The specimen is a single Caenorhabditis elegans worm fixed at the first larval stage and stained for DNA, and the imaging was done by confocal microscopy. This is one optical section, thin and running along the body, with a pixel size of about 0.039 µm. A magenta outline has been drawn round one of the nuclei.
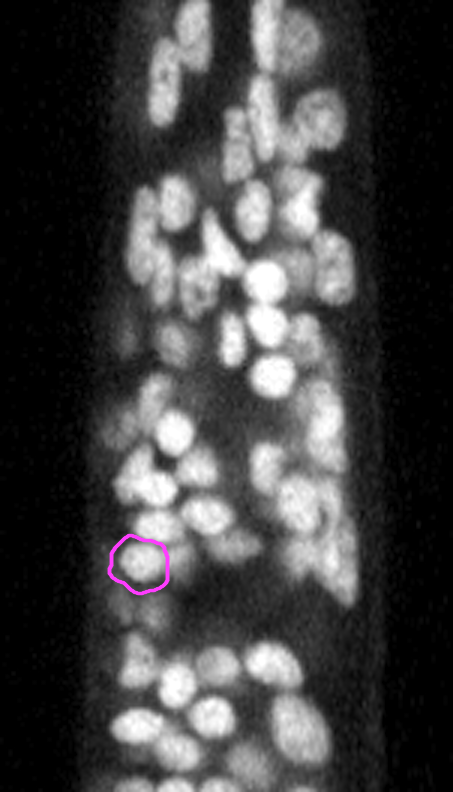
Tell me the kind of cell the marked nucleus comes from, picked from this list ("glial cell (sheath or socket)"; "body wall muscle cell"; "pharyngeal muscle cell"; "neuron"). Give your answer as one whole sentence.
This is the nucleus of a neuron.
